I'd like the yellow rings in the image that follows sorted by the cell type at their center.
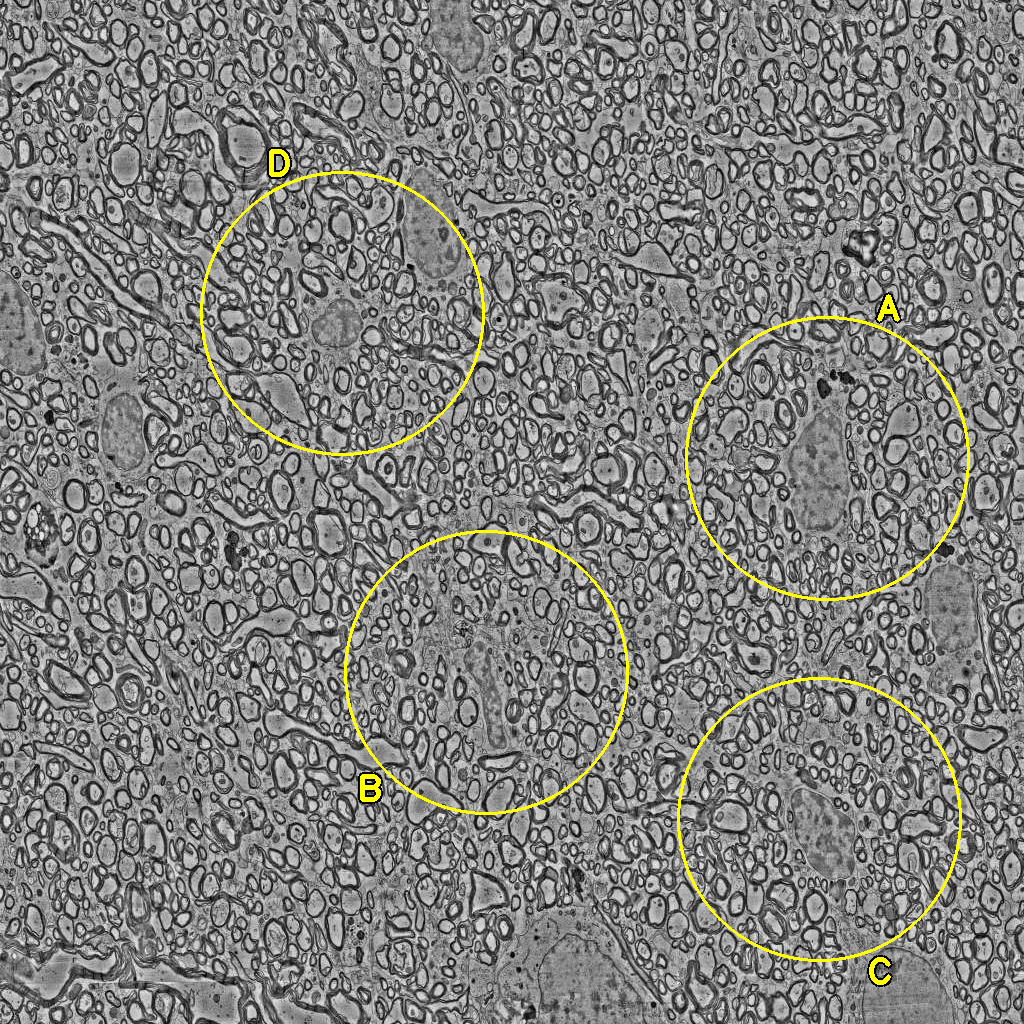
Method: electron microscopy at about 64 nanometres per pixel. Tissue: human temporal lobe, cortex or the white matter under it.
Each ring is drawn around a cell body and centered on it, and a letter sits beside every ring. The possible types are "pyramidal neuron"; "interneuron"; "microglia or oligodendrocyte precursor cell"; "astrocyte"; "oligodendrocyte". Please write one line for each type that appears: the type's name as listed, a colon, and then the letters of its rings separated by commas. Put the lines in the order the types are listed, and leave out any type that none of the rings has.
microglia or oligodendrocyte precursor cell: B, C
oligodendrocyte: A, D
